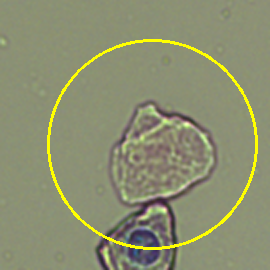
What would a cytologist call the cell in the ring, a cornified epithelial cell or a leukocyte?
A cytologist would call it a cornified epithelial cell.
